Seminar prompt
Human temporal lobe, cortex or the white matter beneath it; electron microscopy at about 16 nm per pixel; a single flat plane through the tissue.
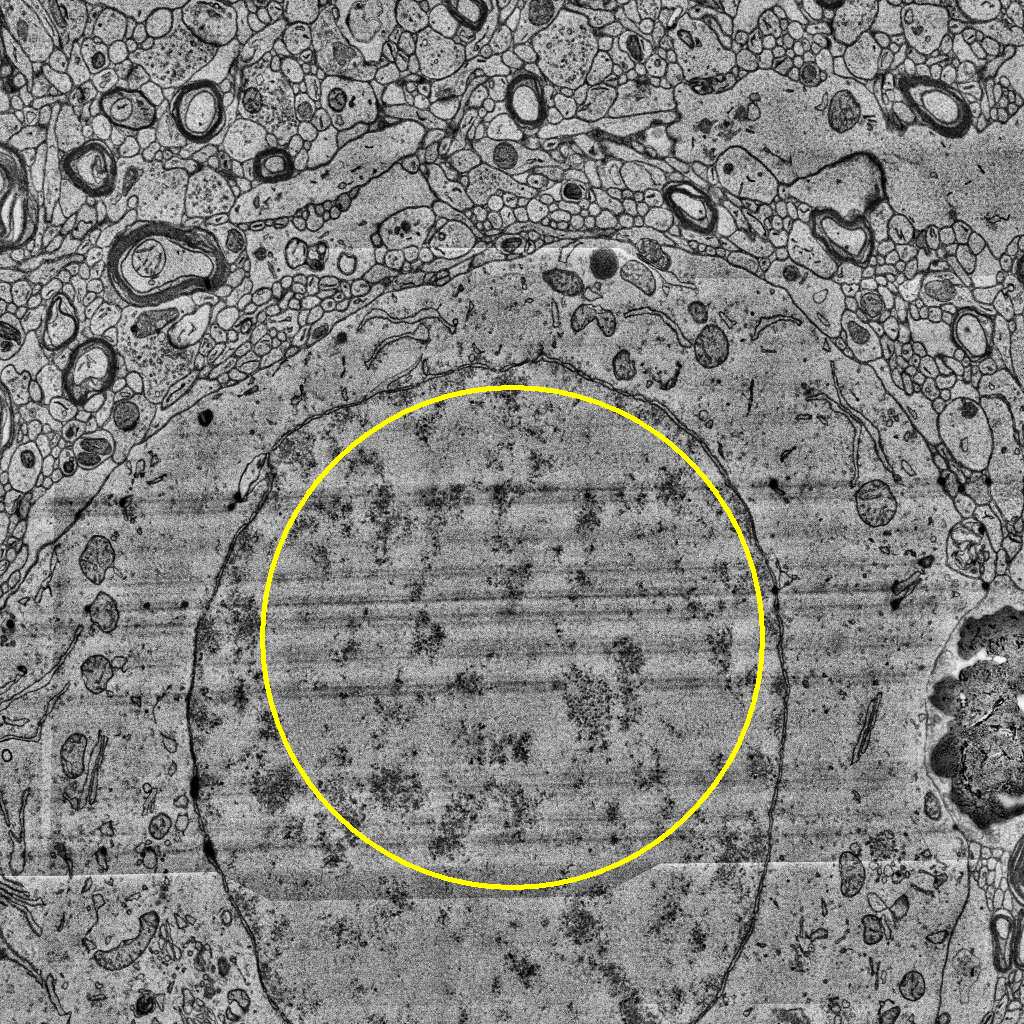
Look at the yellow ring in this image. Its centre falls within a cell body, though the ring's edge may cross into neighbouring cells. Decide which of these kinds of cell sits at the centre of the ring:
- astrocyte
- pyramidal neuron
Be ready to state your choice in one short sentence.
The kind of cell at the ring's centre is a pyramidal neuron.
